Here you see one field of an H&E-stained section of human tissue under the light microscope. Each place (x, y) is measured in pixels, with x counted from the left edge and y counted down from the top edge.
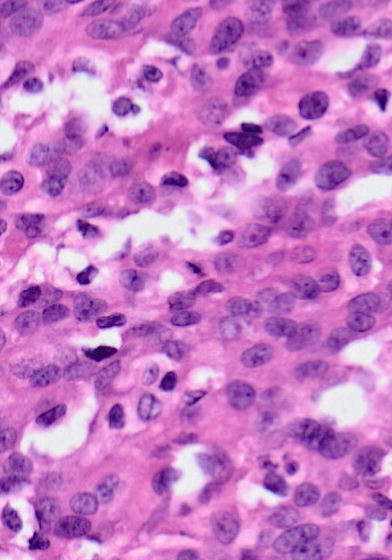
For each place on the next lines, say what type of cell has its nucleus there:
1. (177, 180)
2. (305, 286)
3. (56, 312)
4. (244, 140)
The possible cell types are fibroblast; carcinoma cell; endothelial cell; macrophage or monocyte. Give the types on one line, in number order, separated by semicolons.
macrophage or monocyte; carcinoma cell; carcinoma cell; carcinoma cell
